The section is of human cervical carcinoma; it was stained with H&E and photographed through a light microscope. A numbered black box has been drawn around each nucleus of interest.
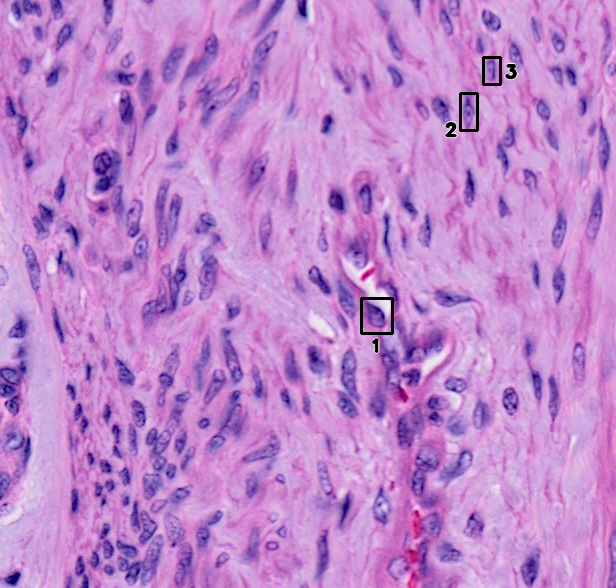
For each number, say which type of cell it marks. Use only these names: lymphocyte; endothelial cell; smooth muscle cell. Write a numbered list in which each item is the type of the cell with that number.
1. endothelial cell
2. smooth muscle cell
3. smooth muscle cell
